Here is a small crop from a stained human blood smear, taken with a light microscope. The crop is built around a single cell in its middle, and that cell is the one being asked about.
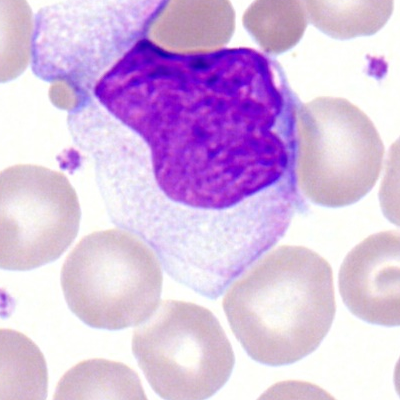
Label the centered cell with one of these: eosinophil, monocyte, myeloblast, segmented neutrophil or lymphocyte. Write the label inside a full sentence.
Standing at the centre of this crop is a monocyte.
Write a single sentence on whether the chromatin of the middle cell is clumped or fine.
In this cell the chromatin is fine rather than coarsely clumped.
